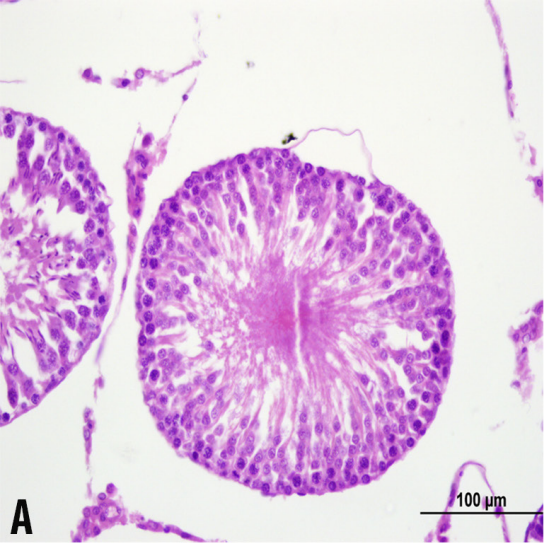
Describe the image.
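This is a round tubule cut across, its wall lined by many layers of cells of the spermatogenic series, with dark purple round nuclei stacked from the smooth outer edge toward the centre. Toward the middle the cells give way to pale pink, fine threads that stream radially into a narrow central lumen. Thin strands of loose connective tissue lie in the clear spaces between neighbouring tubules.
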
